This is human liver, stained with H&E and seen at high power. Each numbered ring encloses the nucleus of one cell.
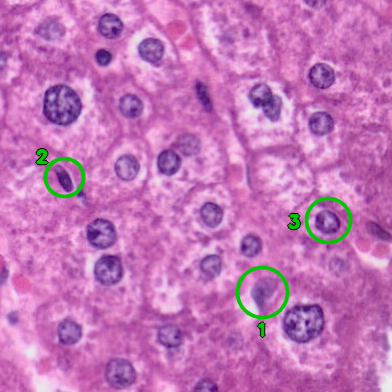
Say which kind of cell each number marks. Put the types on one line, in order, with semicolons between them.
endothelial cell; lymphocyte; hepatocyte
